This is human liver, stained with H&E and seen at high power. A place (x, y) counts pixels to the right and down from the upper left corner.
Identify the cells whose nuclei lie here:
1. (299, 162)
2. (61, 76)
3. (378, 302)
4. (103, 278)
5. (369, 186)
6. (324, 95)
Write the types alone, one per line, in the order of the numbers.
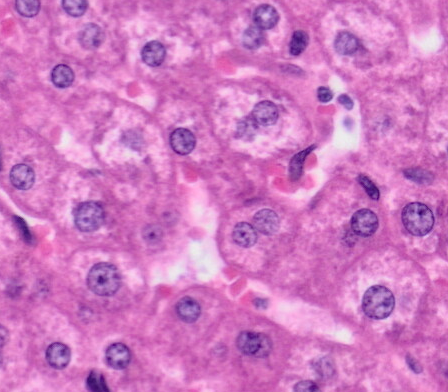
Kupffer cell
hepatocyte
hepatocyte
hepatocyte
fibroblast or stellate cell
lymphocyte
